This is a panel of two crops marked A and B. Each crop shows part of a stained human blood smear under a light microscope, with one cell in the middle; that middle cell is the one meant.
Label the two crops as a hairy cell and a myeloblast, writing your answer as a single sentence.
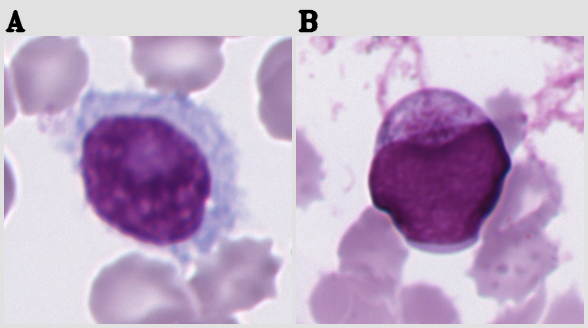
What is seen in crop A is a hairy cell; what is seen in crop B is a myeloblast.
